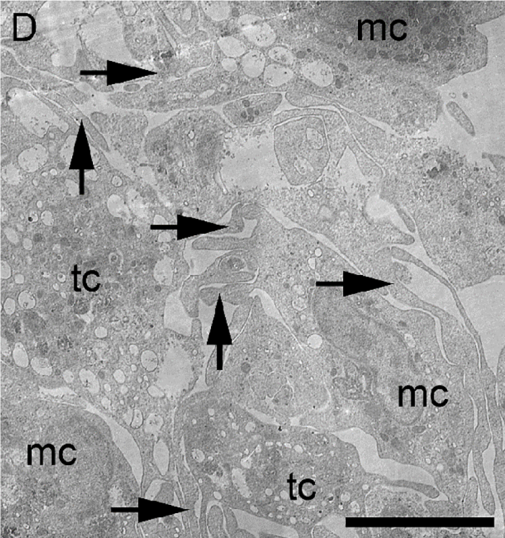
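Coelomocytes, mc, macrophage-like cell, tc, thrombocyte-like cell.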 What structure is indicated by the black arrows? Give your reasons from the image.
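Cytoplasmic processes intermingled with each other. Several cells lie packed together in a cluster. The arrows point to thin cytoplasmic extensions interdigitating between neighbouring cells.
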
